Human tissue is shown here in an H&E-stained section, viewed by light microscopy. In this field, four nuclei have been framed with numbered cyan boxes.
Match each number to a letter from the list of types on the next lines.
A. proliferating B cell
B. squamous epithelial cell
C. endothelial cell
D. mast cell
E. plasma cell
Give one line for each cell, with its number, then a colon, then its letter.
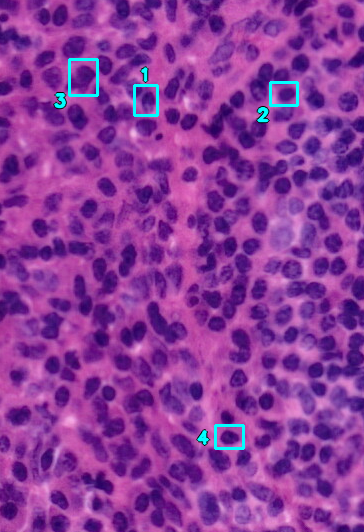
1: E
2: E
3: B
4: E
